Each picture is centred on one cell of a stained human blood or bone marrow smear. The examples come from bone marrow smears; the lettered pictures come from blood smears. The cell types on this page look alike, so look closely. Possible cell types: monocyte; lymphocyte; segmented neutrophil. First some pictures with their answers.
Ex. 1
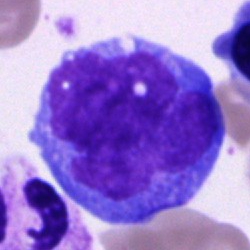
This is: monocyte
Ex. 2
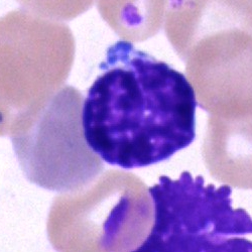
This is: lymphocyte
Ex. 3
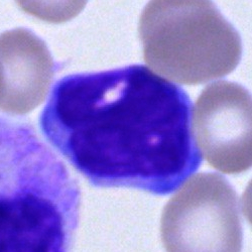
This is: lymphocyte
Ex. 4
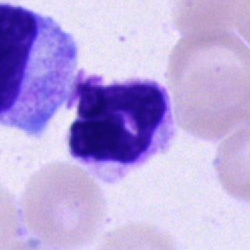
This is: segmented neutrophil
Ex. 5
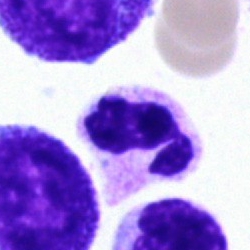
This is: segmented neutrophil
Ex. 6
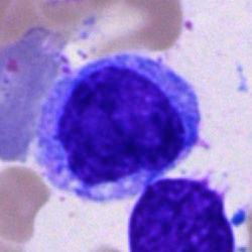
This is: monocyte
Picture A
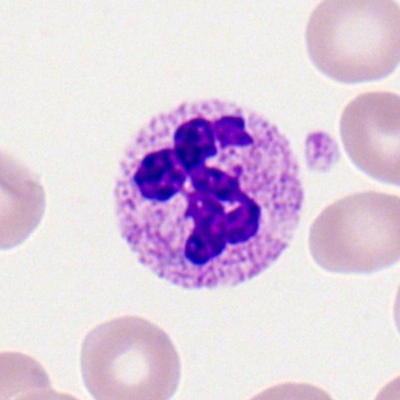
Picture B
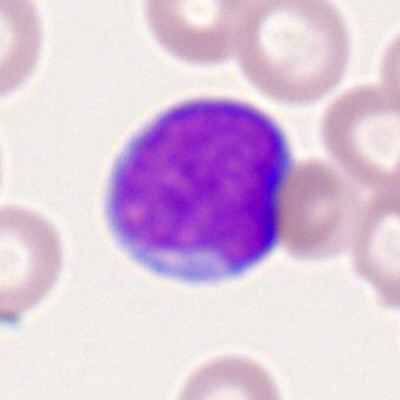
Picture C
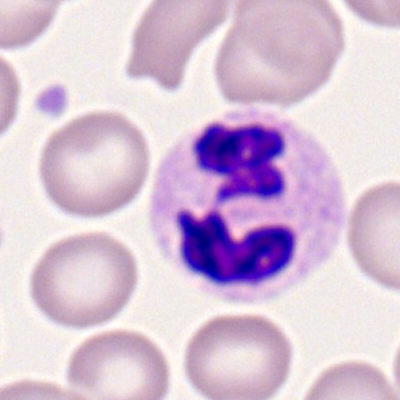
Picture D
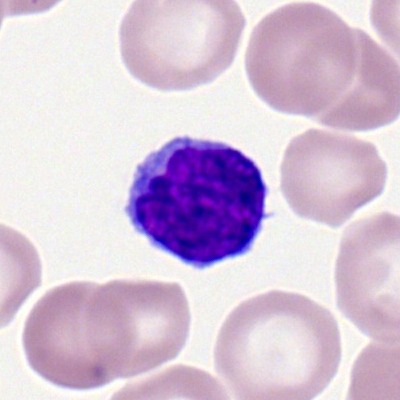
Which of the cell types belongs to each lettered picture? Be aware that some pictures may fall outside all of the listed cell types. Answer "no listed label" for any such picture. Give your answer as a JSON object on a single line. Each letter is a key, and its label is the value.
{"A": "segmented neutrophil", "B": "no listed label", "C": "segmented neutrophil", "D": "lymphocyte"}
